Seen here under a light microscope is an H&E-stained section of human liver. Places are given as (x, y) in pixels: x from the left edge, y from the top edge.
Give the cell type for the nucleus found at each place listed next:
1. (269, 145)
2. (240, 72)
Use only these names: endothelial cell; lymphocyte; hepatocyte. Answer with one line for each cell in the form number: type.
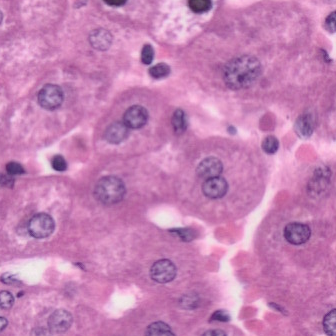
1: lymphocyte
2: hepatocyte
